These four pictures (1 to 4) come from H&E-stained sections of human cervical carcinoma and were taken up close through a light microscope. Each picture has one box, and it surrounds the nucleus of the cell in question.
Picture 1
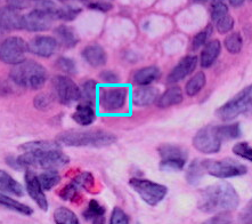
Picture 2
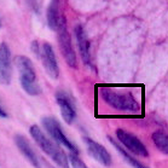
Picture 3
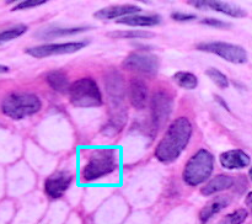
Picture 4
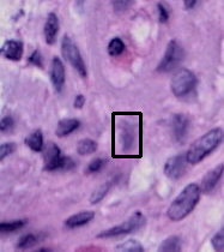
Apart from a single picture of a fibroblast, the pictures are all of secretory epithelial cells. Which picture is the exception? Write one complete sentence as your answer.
Picture 4 shows the fibroblast.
